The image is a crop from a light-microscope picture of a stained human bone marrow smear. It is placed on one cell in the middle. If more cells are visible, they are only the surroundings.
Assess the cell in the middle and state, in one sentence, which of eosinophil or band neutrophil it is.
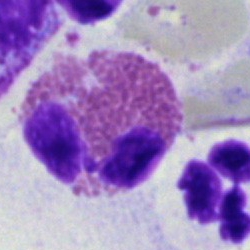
In the middle of this smear crop, the cell is an eosinophil.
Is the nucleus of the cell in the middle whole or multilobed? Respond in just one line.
Segmentation of the nucleus into two or more lobes is the finding.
